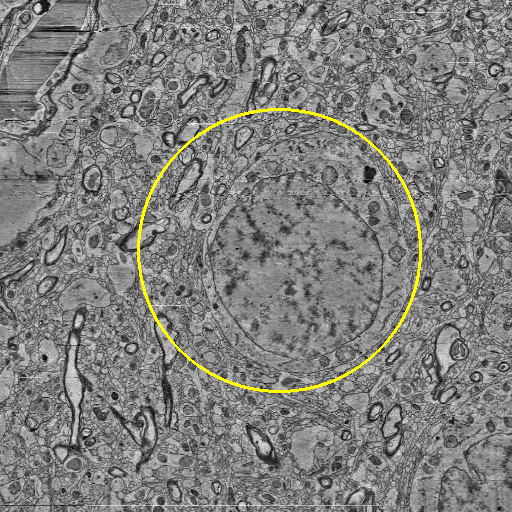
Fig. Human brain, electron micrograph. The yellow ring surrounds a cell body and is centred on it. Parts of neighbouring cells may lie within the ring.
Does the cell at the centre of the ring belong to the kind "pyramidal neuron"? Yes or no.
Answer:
yes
